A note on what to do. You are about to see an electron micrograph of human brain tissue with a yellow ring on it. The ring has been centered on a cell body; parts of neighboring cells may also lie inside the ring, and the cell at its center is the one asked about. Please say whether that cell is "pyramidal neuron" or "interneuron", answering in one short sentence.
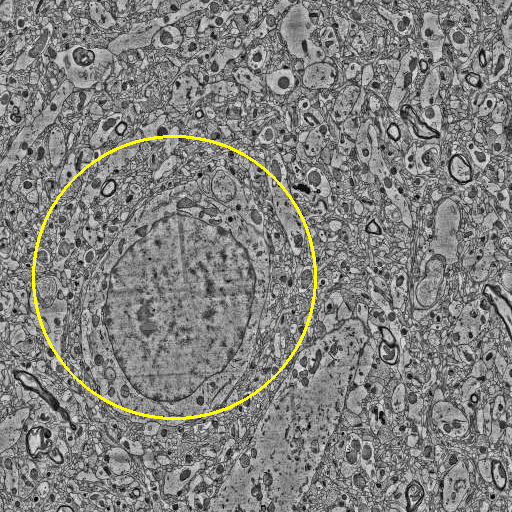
The yellow ring sits on an interneuron.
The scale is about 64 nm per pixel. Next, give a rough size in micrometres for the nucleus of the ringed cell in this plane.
Roughly 12 micrometres by 9 micrometres, in this plane.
